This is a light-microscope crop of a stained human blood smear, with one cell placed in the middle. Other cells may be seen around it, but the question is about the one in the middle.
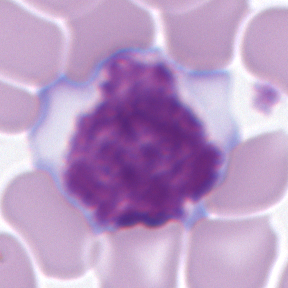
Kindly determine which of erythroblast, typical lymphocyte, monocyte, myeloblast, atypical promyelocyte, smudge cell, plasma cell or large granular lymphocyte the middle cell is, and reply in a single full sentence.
The middle position in this crop is taken by a monocyte.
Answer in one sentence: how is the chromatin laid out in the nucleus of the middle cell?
Chromatin in the nucleus here is coarsely clumped.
